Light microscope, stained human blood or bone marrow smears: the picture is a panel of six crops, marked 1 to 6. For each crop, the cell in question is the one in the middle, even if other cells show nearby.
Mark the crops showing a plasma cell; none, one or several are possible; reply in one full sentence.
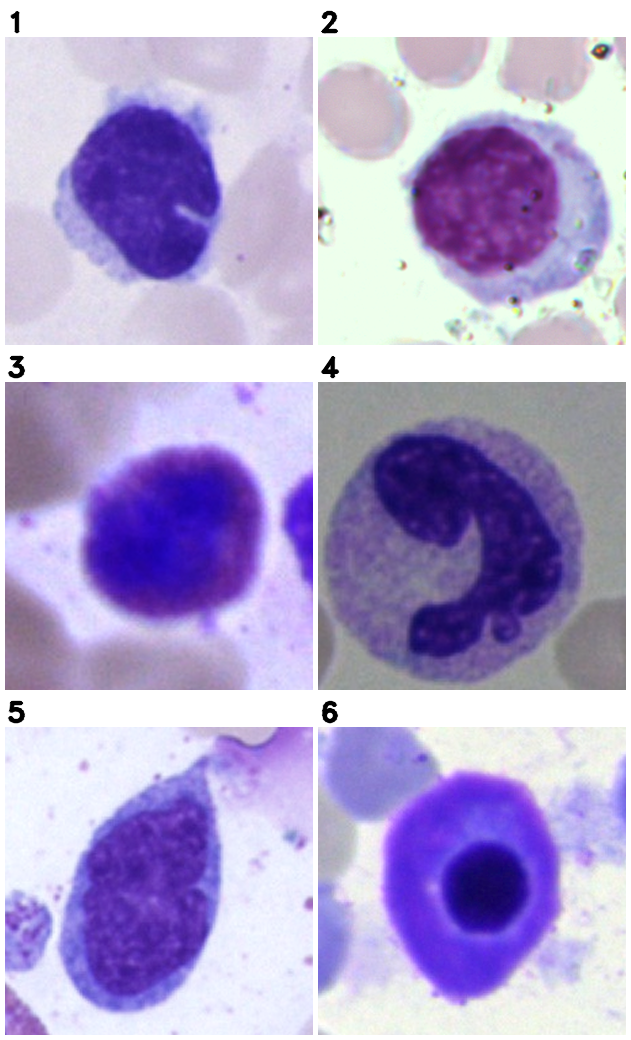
The centrally placed cells in crops 2 and 6 are plasma cells.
